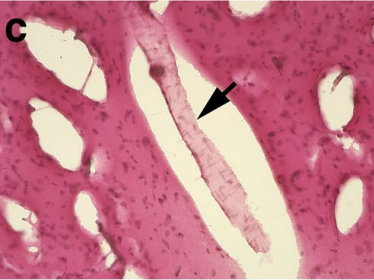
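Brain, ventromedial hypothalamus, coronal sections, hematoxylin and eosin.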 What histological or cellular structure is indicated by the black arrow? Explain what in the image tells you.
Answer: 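Detached artery. An elongated tubular vessel lies within a long clear channel. A clear gap separates the vessel wall from the surrounding pink tissue.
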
